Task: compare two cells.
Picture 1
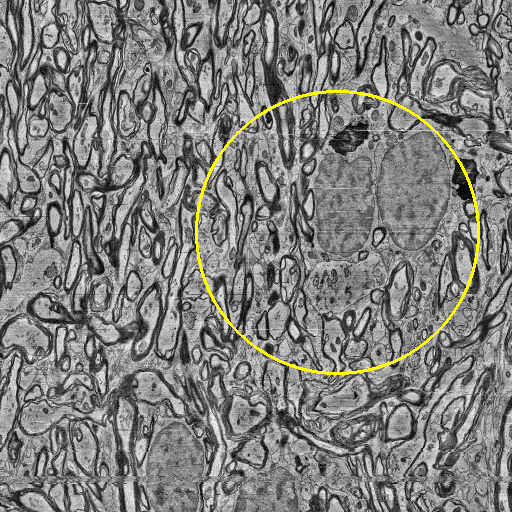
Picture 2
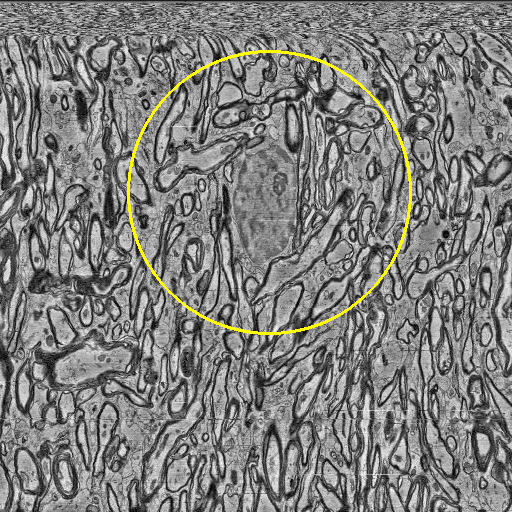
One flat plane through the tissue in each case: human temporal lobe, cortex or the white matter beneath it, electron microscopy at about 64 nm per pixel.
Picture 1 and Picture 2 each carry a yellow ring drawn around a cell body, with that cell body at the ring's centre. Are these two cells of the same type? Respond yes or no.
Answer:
yes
